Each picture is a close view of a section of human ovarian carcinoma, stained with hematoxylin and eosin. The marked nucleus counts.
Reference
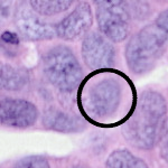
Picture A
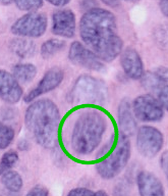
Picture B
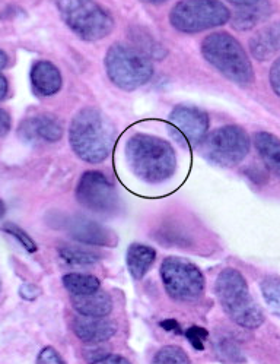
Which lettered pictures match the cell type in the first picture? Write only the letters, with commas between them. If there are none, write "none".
A, B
